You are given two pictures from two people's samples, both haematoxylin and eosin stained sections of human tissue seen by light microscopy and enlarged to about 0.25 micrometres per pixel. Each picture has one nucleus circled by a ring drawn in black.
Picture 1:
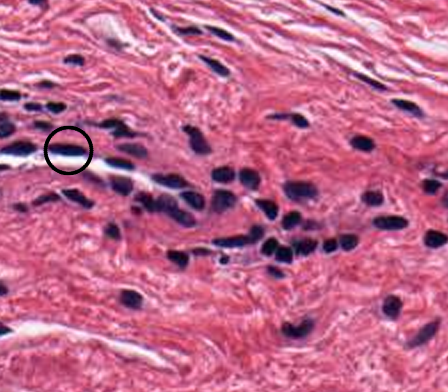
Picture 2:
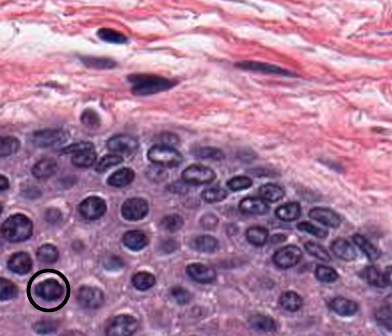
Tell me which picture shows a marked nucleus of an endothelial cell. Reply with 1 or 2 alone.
1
